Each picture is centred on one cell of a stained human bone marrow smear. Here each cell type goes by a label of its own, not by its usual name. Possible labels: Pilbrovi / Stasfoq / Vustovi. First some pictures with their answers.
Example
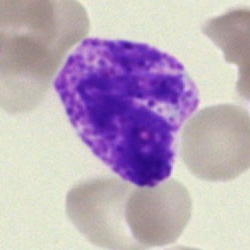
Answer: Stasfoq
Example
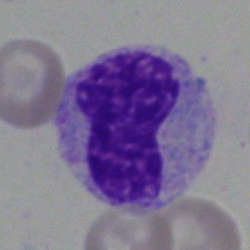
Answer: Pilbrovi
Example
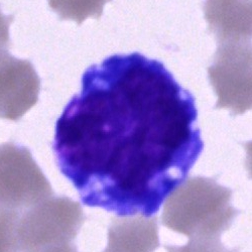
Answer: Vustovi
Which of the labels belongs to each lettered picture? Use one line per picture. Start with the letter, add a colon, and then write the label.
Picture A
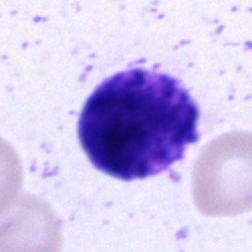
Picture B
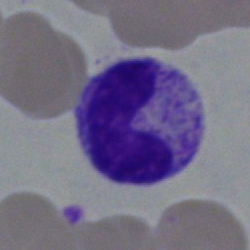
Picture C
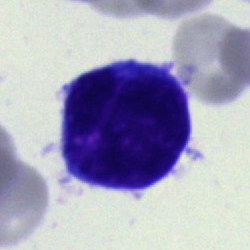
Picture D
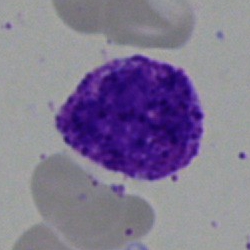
A: Stasfoq
B: Pilbrovi
C: Vustovi
D: Stasfoq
